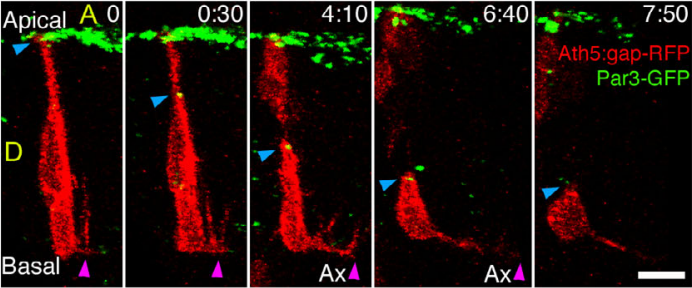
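This time series follows a single differentiating retinal ganglion cell in the developing retina, outlined in red, as it changes shape. At first the cell is long and bipolar, stretching from the bright green band at the top of the tissue down toward the basal side. Over the frames the thin upper process shortens, its tip marked by a small green dot that moves steadily downward away from the green band. Meanwhile a fine process emerges from the lower end of the cell and runs along the basal side. By the end the cell body sits near the basal side with only a short remnant of its upper process.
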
